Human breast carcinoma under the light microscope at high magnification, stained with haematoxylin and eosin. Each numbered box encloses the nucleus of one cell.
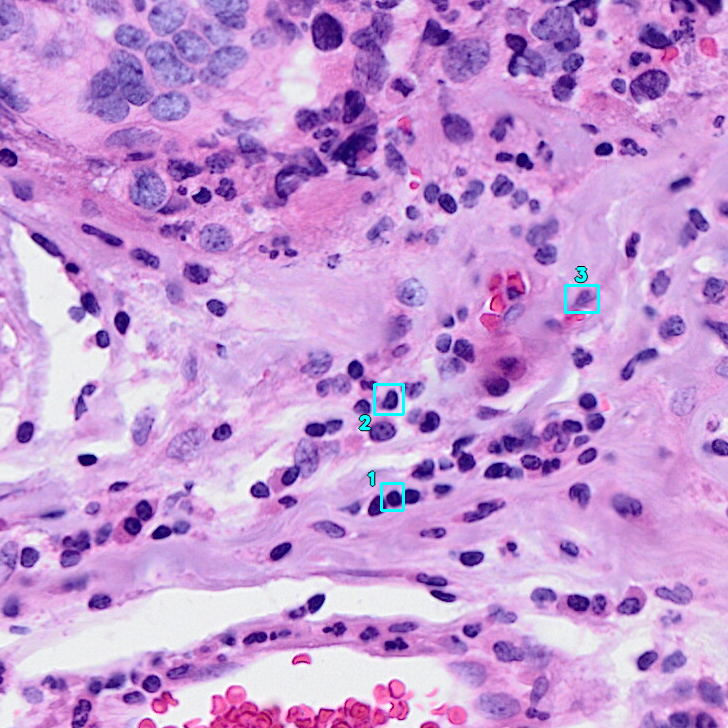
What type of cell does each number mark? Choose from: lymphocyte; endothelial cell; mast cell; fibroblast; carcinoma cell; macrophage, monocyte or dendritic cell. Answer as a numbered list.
1. lymphocyte
2. lymphocyte
3. endothelial cell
